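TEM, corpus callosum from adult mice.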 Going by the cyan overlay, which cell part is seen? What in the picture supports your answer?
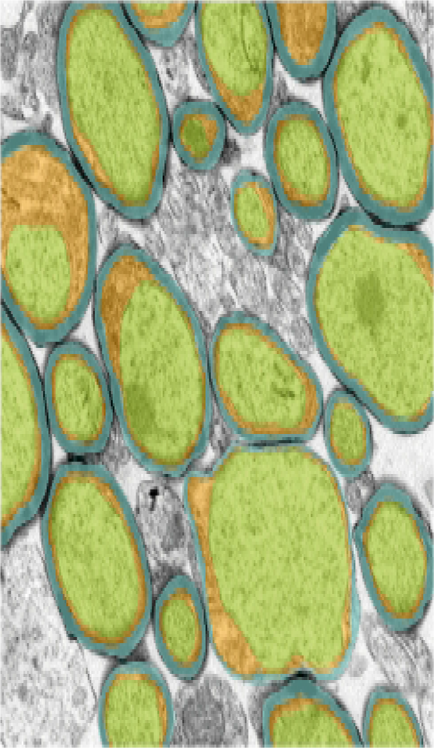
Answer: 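The cyan colour lies over the thick electron-dense rings surrounding each round profile. The cyan band forms the outermost layer of each annotated fibre.
Conclusion: compacted myelin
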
